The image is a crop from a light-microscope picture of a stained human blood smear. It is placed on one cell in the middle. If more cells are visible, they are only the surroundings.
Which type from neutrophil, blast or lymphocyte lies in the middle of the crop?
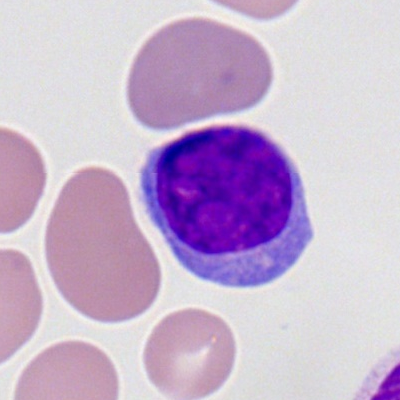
lymphocyte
